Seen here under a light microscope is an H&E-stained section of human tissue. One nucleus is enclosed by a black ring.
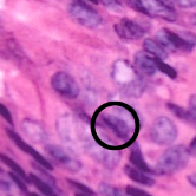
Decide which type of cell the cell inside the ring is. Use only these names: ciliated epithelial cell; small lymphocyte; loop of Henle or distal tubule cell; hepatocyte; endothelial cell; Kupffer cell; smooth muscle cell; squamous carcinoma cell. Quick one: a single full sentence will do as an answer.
By cell type, the cell inside the ring is a ciliated epithelial cell.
